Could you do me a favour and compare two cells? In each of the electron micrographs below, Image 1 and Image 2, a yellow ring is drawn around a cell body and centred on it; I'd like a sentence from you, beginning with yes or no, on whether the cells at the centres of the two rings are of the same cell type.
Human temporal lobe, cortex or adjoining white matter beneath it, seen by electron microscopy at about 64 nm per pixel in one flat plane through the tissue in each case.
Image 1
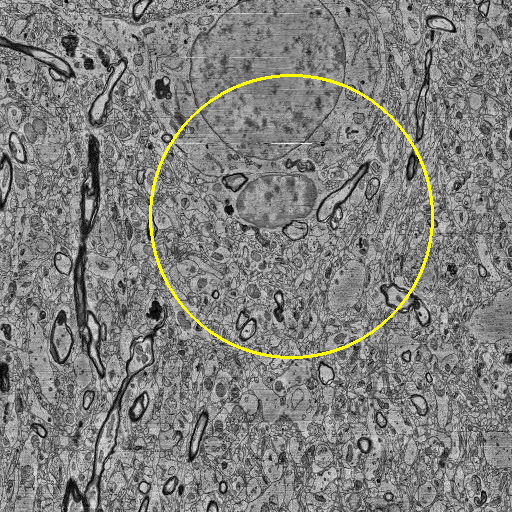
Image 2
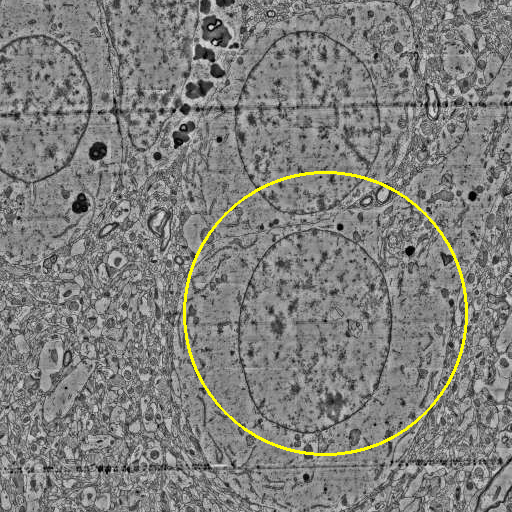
No, the two cells are of two cell types.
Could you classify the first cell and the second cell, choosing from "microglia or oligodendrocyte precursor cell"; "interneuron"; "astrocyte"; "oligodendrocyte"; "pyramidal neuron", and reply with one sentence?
The second cell is a pyramidal neuron, while the first is an oligodendrocyte.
